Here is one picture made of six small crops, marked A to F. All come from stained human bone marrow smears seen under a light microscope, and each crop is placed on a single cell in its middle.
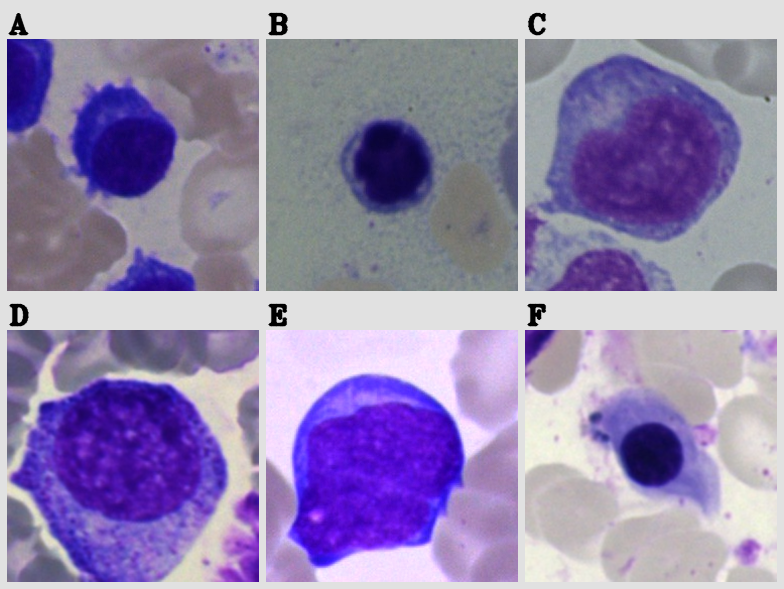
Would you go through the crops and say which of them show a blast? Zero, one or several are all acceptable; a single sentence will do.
The middle cells of crops C and E are blasts.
